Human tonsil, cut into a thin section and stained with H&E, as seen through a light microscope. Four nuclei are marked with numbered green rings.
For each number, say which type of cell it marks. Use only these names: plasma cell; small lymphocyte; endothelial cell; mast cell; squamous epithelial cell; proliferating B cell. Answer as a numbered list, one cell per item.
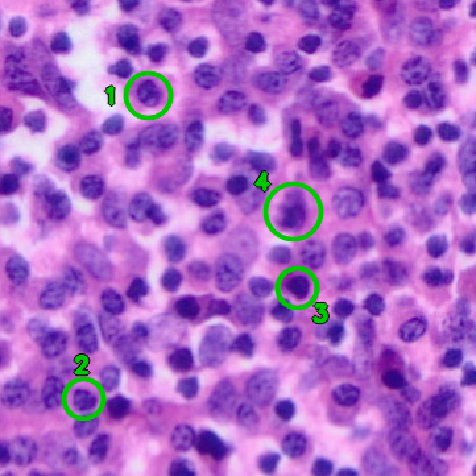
1. plasma cell
2. plasma cell
3. plasma cell
4. squamous epithelial cell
